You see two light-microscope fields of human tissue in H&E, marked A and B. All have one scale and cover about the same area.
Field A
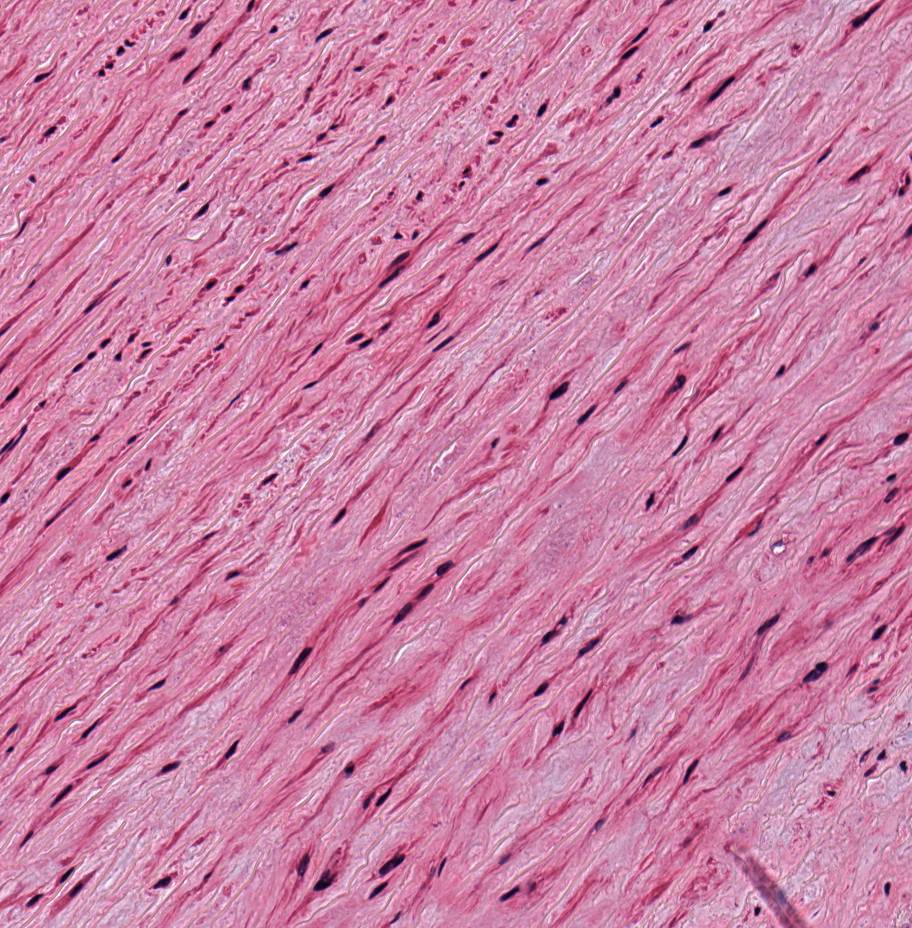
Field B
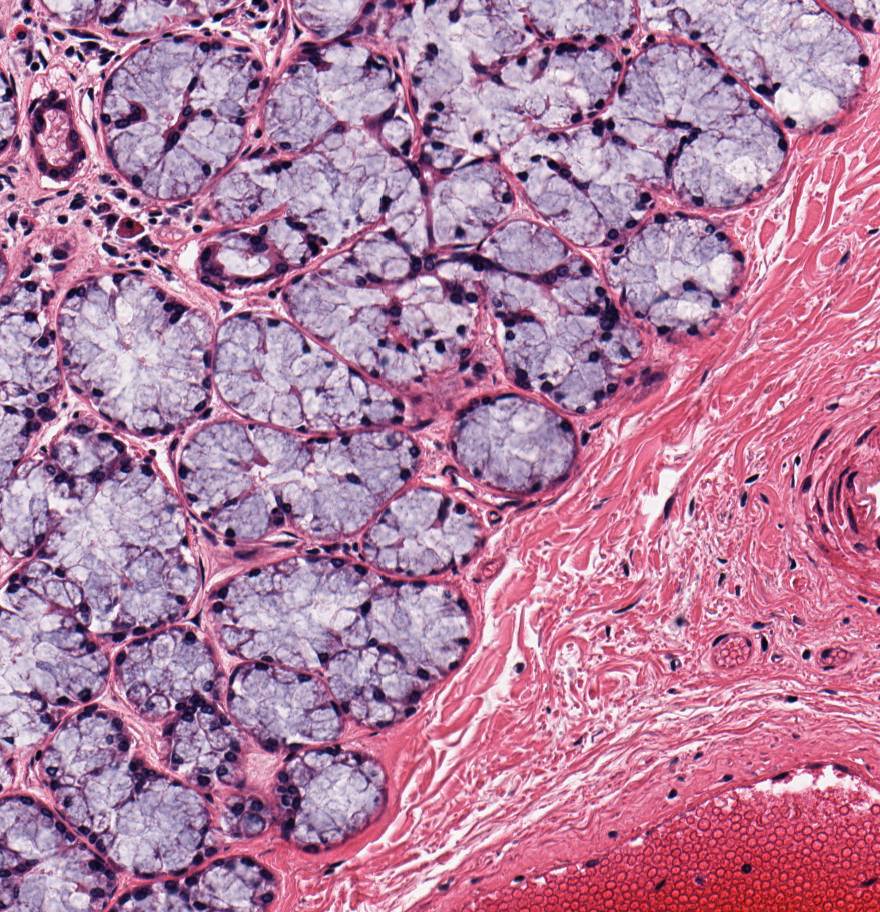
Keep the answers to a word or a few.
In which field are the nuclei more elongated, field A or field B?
A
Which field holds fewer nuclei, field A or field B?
A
